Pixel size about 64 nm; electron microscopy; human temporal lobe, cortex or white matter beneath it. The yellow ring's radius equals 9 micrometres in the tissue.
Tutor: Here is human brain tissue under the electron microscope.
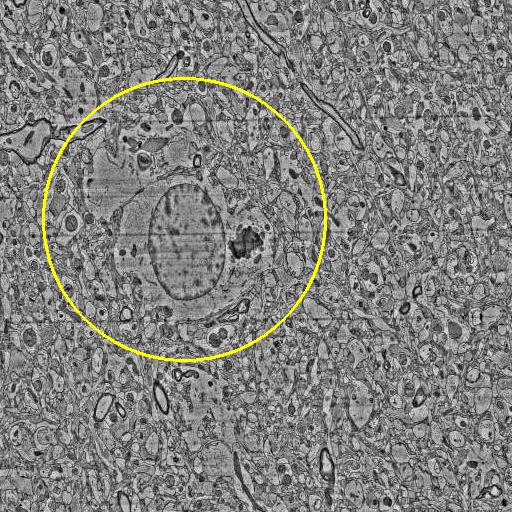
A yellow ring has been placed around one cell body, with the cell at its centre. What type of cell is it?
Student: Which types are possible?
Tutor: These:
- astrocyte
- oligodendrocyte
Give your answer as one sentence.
What the ring picks out here is an astrocyte.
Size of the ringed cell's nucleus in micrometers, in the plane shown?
About 7 by 5 micrometres in this plane; clearly longer than it is wide.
